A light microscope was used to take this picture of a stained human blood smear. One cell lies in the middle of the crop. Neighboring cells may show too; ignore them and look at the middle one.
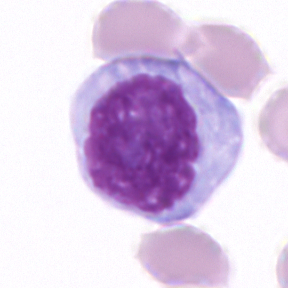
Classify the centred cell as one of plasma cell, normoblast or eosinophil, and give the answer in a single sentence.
The cell occupying the middle of the crop is a plasma cell.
